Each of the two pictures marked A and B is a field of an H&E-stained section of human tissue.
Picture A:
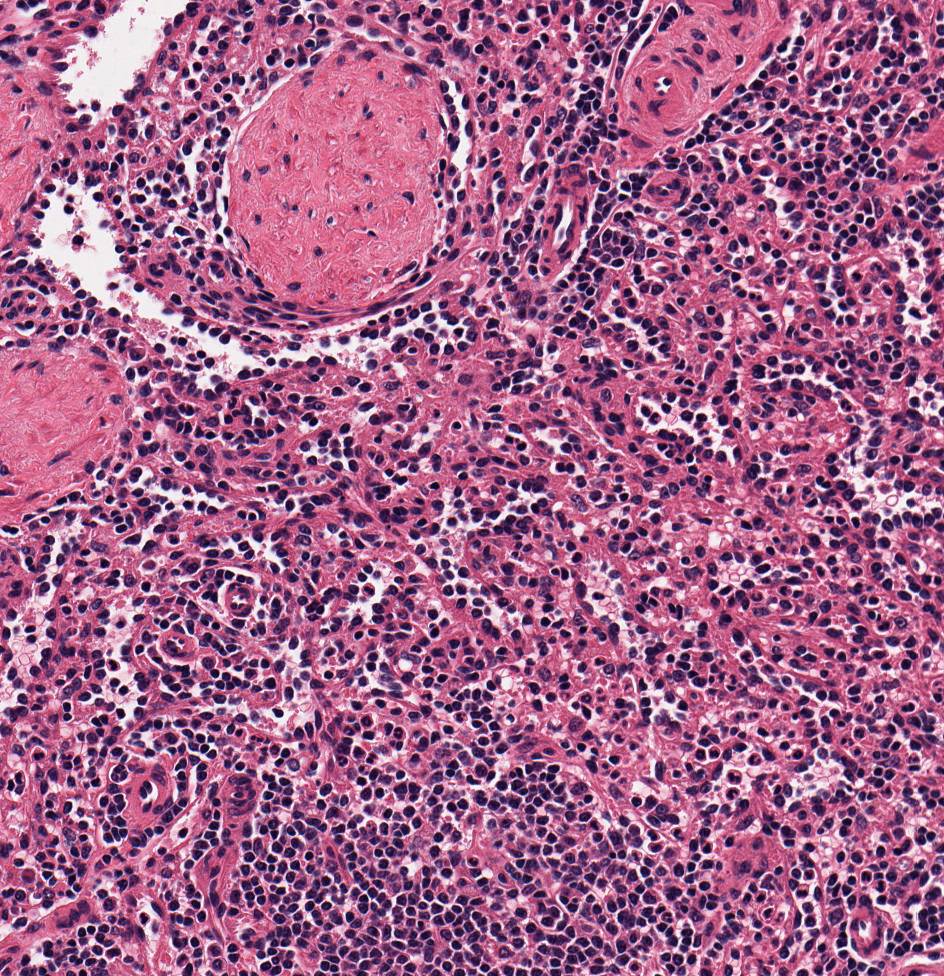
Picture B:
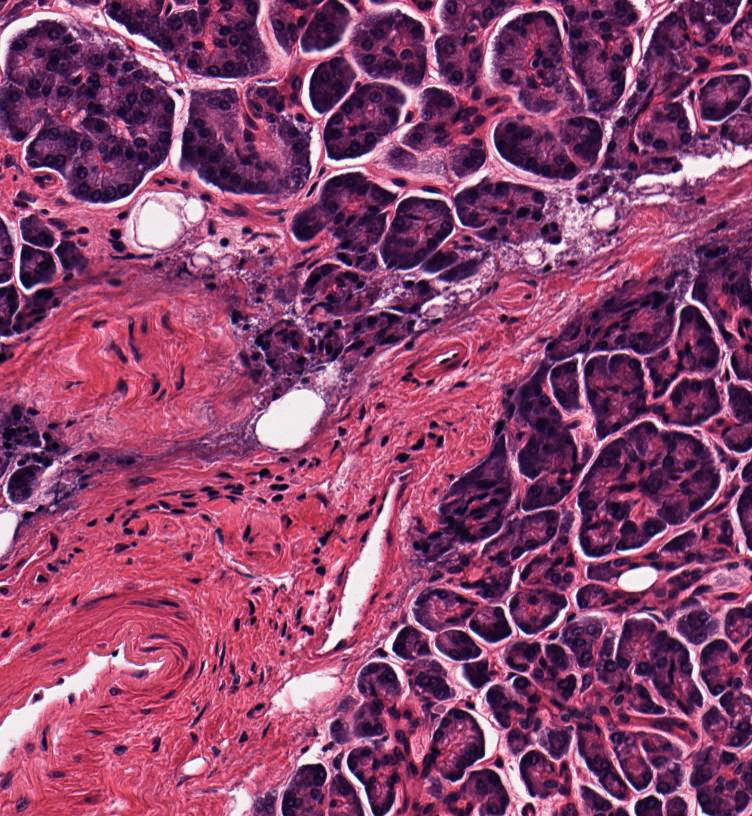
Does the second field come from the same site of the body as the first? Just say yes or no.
no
